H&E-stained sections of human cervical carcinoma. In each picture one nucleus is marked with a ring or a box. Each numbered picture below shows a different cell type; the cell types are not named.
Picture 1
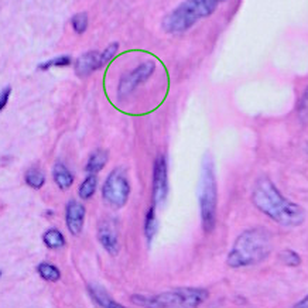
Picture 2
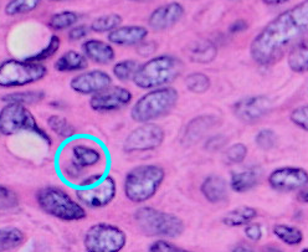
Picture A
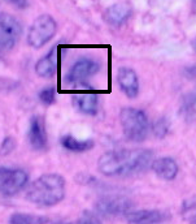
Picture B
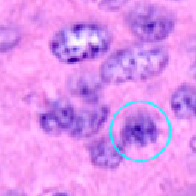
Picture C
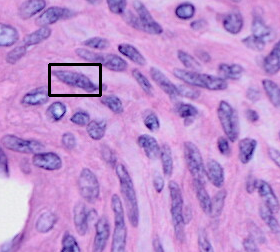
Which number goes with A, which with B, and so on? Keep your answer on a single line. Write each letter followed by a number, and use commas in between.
A 2, B 2, C 1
